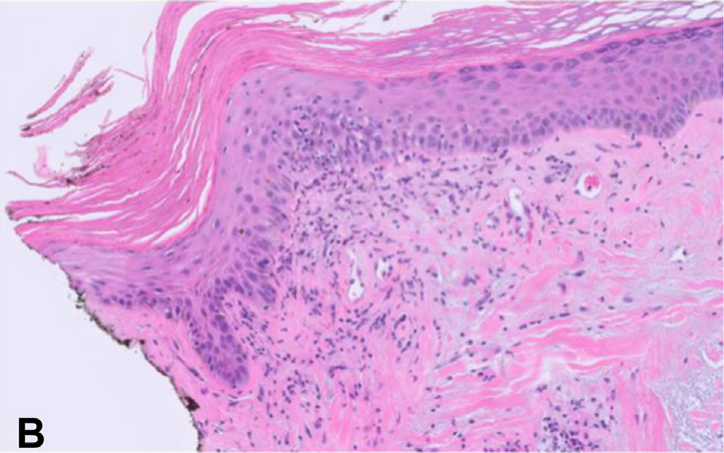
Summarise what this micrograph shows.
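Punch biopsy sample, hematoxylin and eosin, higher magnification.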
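Skin with epidermis of keratinocytes under a thick, laminated pink layer of keratin. The epidermis curves down at the left edge where the surface dips in, and small round dark nuclei of inflammatory cells are scattered along the junction with the dermis and in the upper dermis. The dermis below has loose pink collagen with small vessels lined by flat cells.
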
